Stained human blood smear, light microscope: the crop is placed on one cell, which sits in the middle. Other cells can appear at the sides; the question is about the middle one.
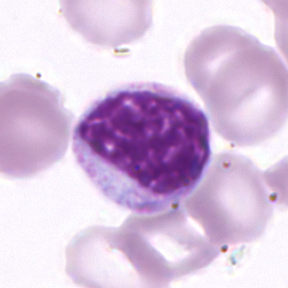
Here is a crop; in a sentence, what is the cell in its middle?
The cell the crop is centered on is a metamyelocyte.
